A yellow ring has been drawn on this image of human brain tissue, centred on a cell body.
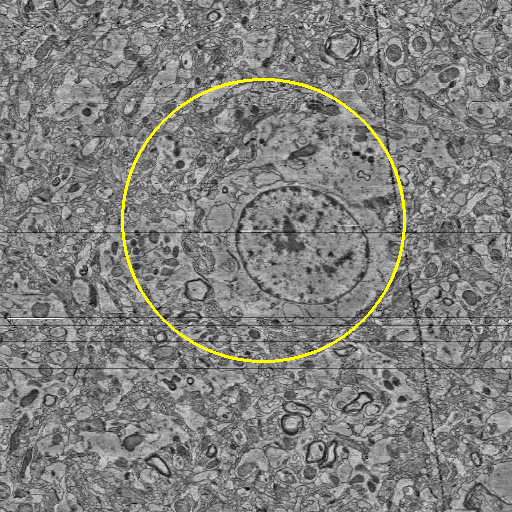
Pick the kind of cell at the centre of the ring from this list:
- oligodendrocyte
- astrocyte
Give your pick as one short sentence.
The centre of the ring holds an astrocyte.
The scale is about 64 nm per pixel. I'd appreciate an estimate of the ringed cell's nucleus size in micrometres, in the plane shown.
In this plane the nucleus is about 9 micrometres by 7.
